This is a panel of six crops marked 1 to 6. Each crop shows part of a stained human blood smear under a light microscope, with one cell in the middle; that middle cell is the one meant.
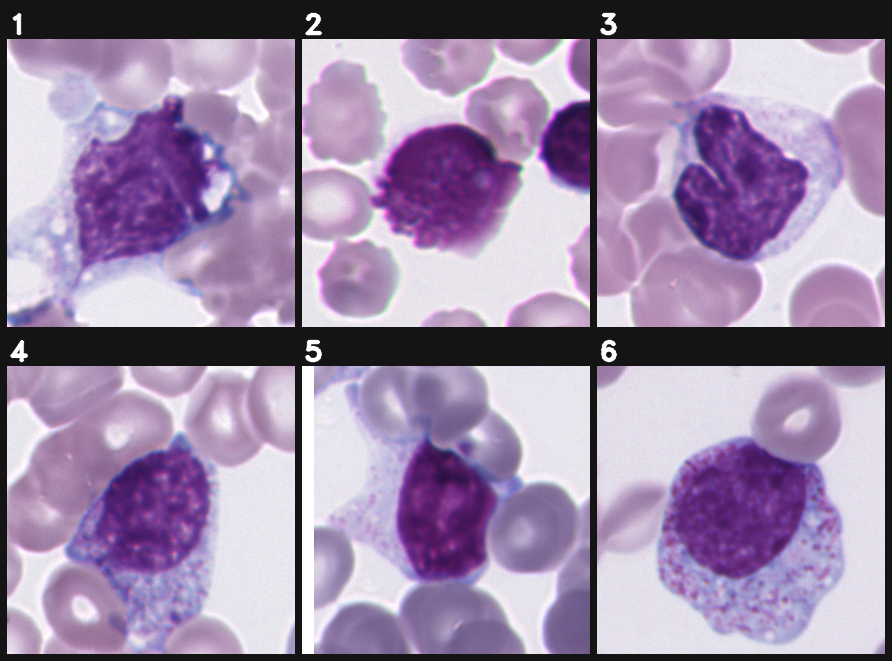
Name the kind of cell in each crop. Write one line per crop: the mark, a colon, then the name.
1: monocyte
2: smudge cell
3: band neutrophil
4: myelocyte
5: large granular lymphocyte
6: promyelocyte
